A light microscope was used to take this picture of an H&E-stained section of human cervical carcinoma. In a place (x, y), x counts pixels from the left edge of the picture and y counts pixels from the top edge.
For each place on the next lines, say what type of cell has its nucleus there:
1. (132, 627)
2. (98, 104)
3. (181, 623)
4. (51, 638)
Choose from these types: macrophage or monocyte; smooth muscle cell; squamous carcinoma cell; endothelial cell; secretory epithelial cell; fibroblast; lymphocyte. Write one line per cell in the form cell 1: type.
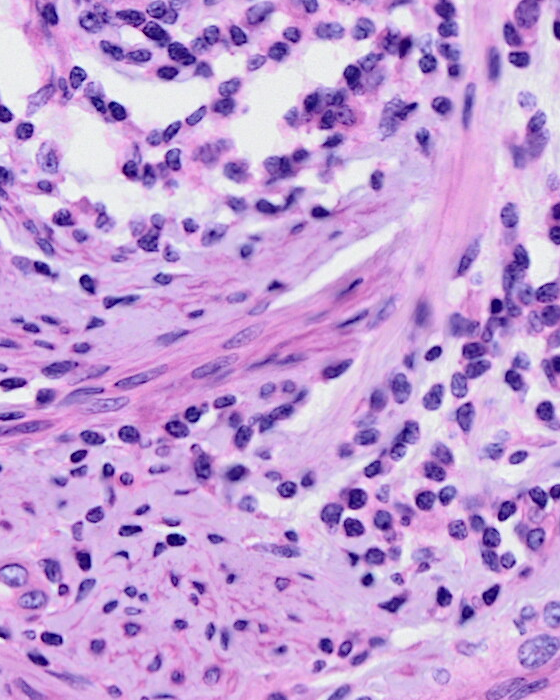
cell 1: smooth muscle cell
cell 2: lymphocyte
cell 3: smooth muscle cell
cell 4: lymphocyte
